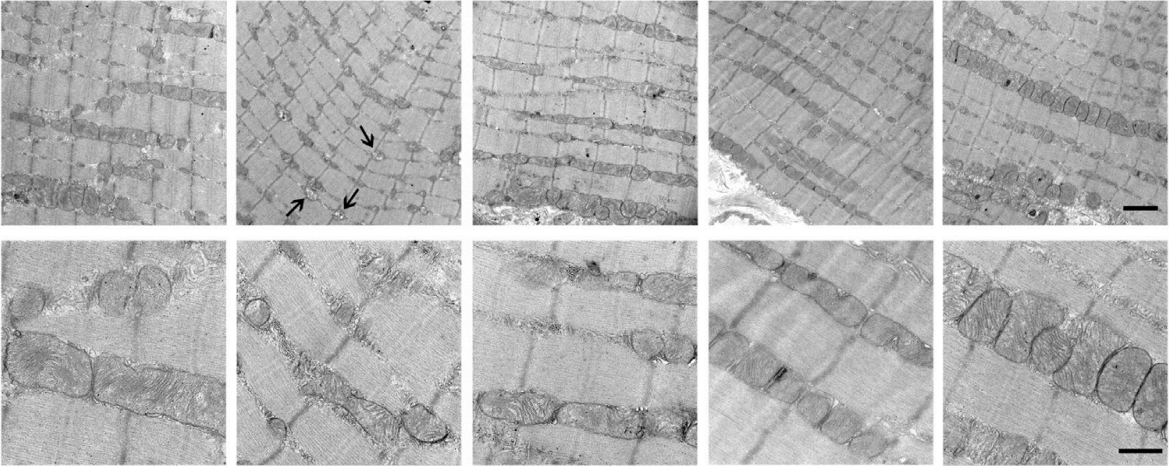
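This grid of electron micrographs shows skeletal muscle fibres cut lengthwise, with long myofibrils crossed at regular intervals by dark transverse lines that divide them into repeating sarcomeres. Between the myofibrils lie chains of oval to elongated mitochondria, arranged in rows that follow the long axis of the fibre. In the lower, more magnified images the mitochondria show a dense interior packed with folded inner membranes, the cristae, and the banding of the neighbouring myofibrils is finely visible. The mitochondria are not alike across the images: in some they are large, plump and closely packed in long chains, while in one upper image they appear as small, sparse bodies at the cross-striations. In that image arrows point to small pale, hollow-looking mitochondria whose inner folds are faint, consistent with vacuolation degeneration with vague and dissolved cristae.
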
